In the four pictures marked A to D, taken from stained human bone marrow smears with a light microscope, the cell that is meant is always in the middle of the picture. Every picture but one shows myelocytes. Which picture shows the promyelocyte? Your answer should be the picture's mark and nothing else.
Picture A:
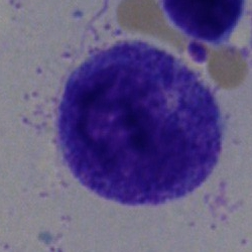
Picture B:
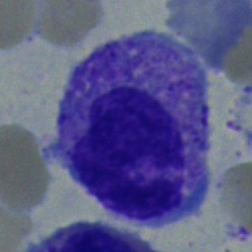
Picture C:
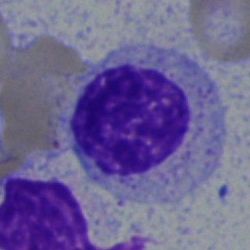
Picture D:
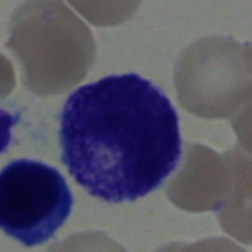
A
